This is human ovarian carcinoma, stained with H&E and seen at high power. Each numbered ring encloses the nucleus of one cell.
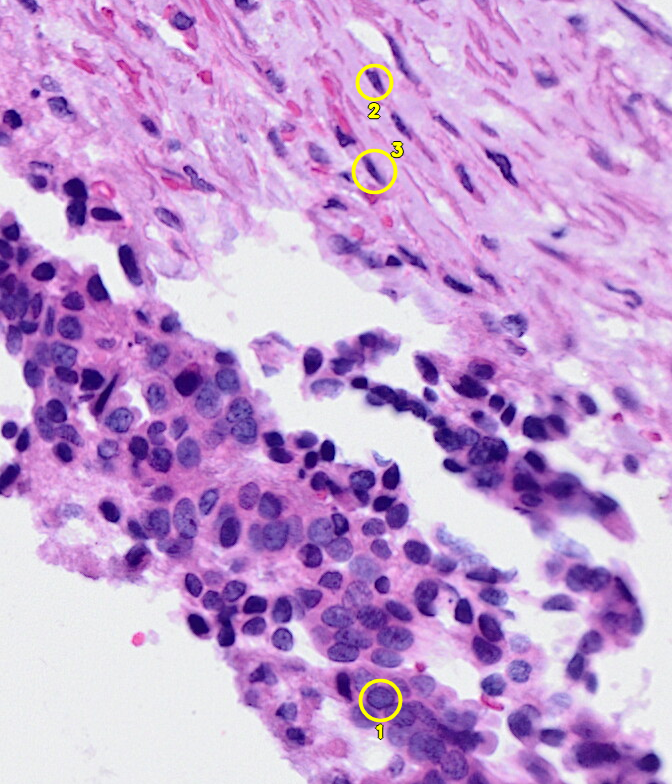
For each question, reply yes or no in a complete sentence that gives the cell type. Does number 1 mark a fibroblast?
No, what is marked as number 1 is a carcinoma cell rather than a fibroblast.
